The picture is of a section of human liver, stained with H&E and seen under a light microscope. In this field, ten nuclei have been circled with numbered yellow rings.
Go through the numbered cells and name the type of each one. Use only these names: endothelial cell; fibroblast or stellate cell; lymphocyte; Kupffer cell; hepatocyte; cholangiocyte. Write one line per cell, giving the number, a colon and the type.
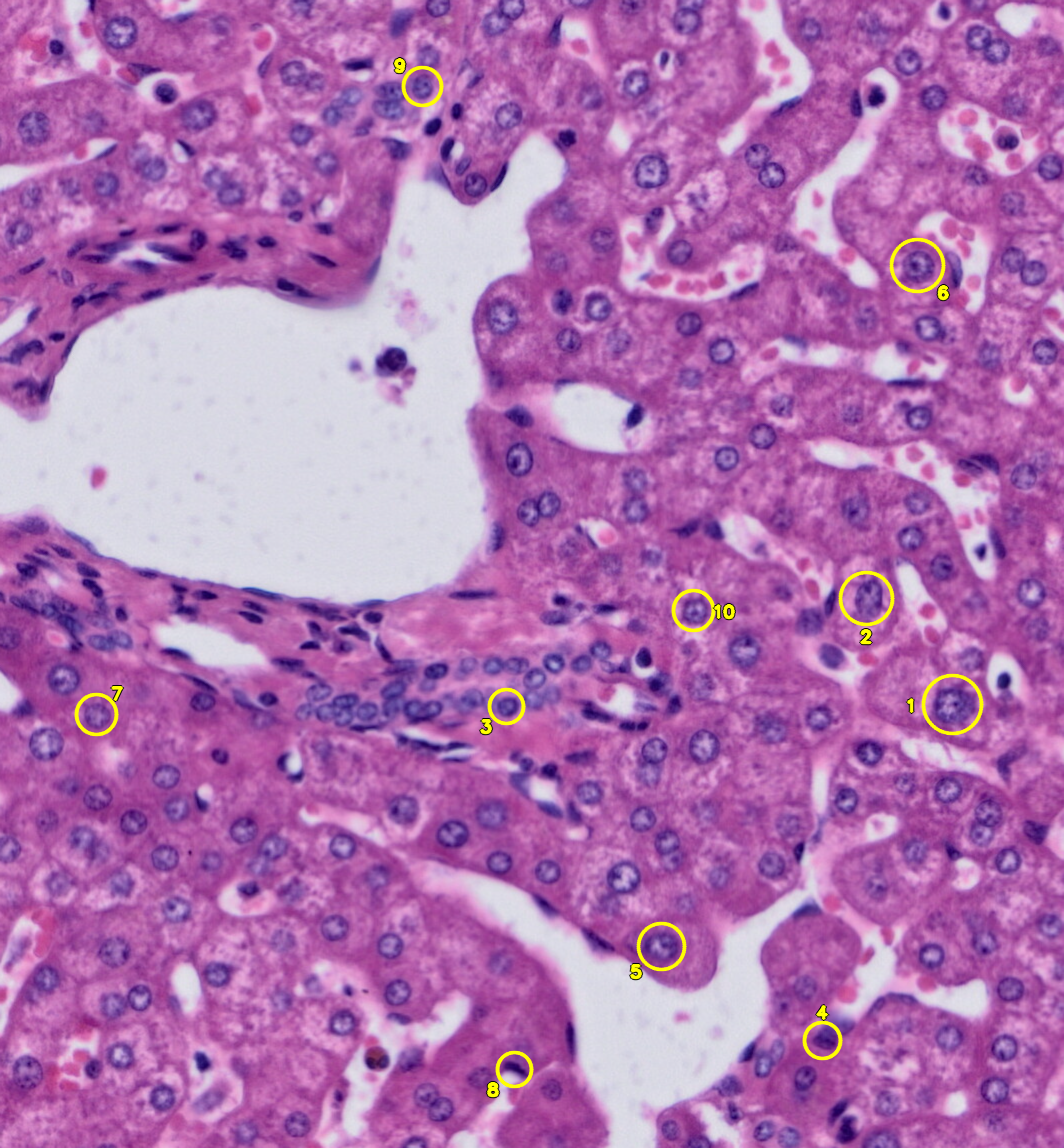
1: hepatocyte
2: hepatocyte
3: cholangiocyte
4: fibroblast or stellate cell
5: hepatocyte
6: hepatocyte
7: hepatocyte
8: fibroblast or stellate cell
9: cholangiocyte
10: hepatocyte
